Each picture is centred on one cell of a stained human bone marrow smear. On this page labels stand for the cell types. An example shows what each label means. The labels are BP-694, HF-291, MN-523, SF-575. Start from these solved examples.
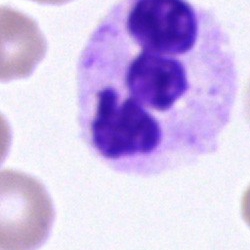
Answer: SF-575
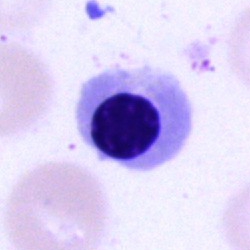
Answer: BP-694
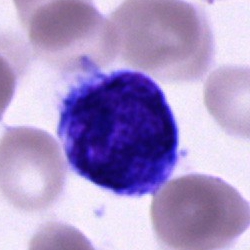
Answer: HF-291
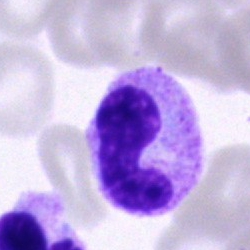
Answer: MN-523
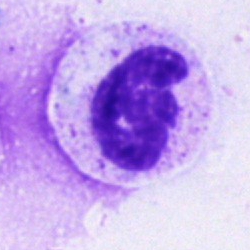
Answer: SF-575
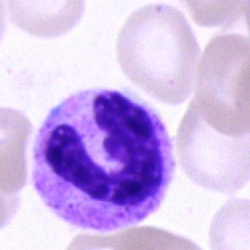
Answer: SF-575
